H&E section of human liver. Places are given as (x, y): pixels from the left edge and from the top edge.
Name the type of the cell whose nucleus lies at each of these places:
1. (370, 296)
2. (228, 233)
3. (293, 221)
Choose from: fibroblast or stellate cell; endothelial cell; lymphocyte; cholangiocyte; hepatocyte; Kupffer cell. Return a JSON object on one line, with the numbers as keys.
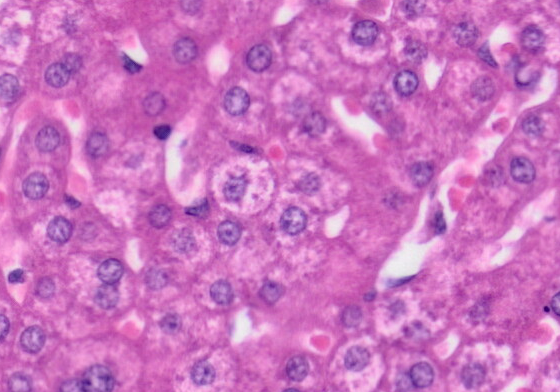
{"1": "fibroblast or stellate cell", "2": "hepatocyte", "3": "hepatocyte"}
